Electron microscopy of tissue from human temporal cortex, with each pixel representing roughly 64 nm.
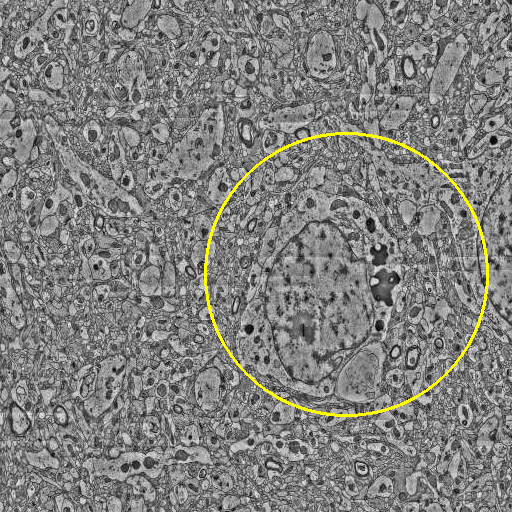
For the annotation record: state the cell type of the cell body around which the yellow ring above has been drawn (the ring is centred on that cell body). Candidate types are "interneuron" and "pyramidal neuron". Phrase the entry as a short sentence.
The ringed cell is an interneuron.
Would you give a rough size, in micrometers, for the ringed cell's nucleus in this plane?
About 10 by 8 micrometres in this plane.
